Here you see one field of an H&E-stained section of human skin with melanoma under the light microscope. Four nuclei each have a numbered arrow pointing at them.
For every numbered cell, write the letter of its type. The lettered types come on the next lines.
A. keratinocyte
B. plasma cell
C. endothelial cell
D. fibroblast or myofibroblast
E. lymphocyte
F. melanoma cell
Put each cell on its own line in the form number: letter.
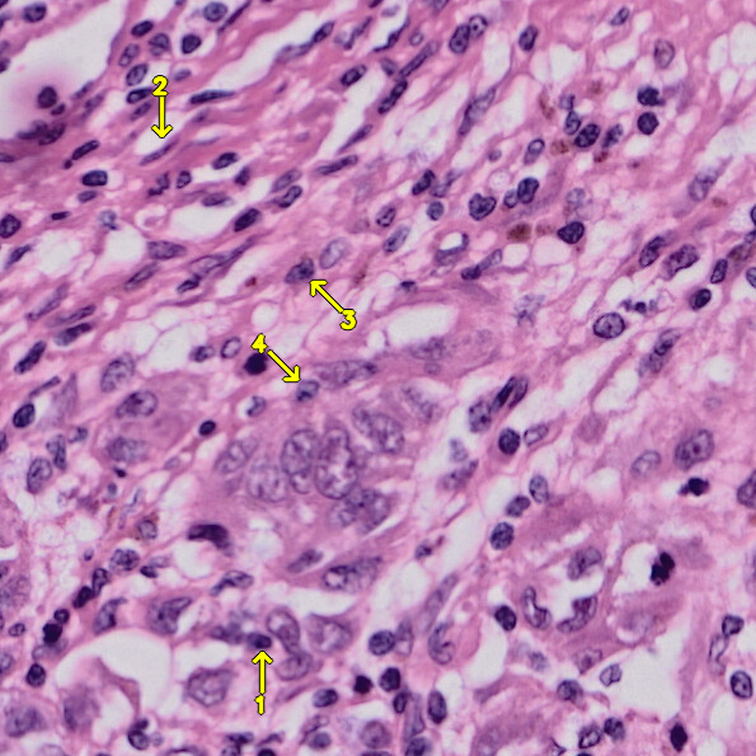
1: E
2: D
3: E
4: E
